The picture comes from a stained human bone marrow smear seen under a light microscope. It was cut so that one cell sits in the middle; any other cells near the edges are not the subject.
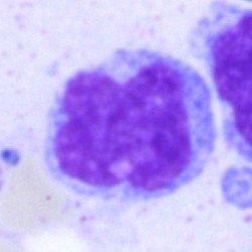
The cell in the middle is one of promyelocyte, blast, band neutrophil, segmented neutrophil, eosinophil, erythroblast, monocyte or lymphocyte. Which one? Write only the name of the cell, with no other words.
monocyte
